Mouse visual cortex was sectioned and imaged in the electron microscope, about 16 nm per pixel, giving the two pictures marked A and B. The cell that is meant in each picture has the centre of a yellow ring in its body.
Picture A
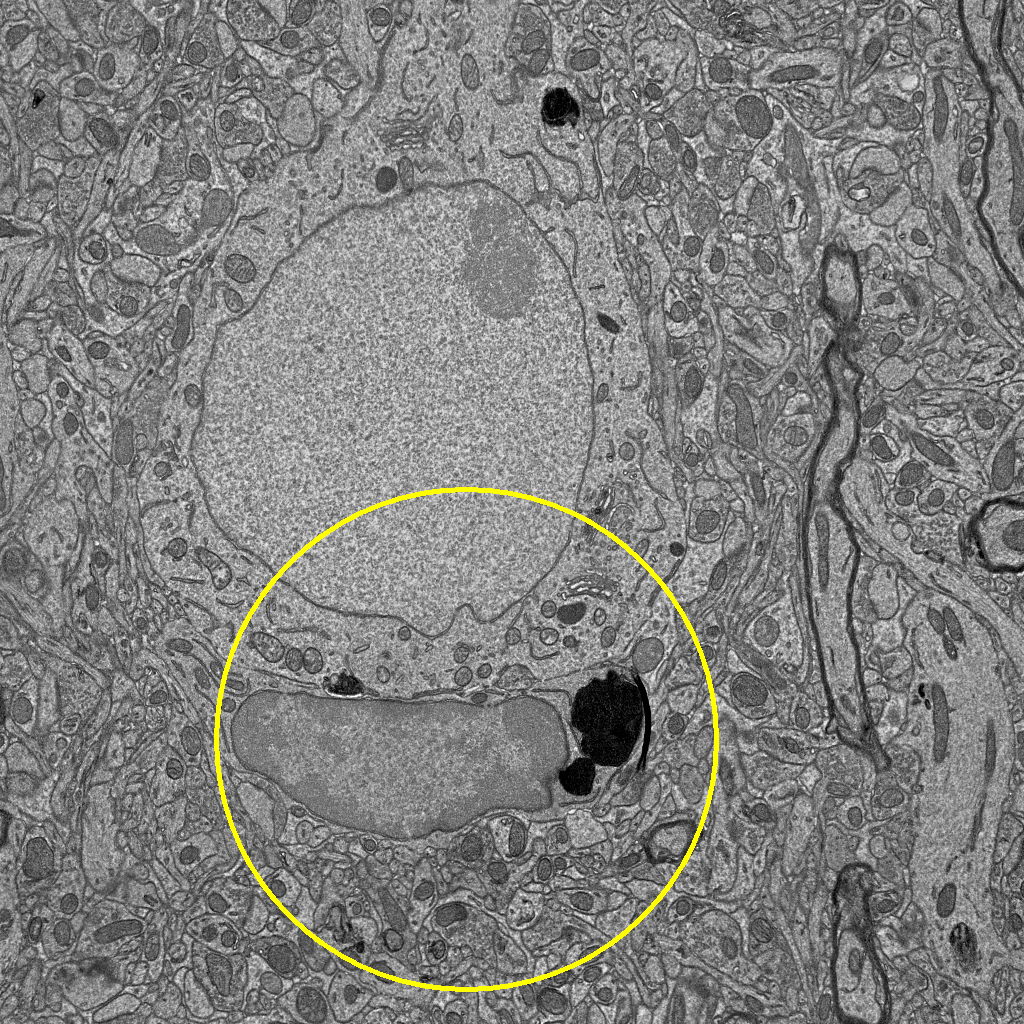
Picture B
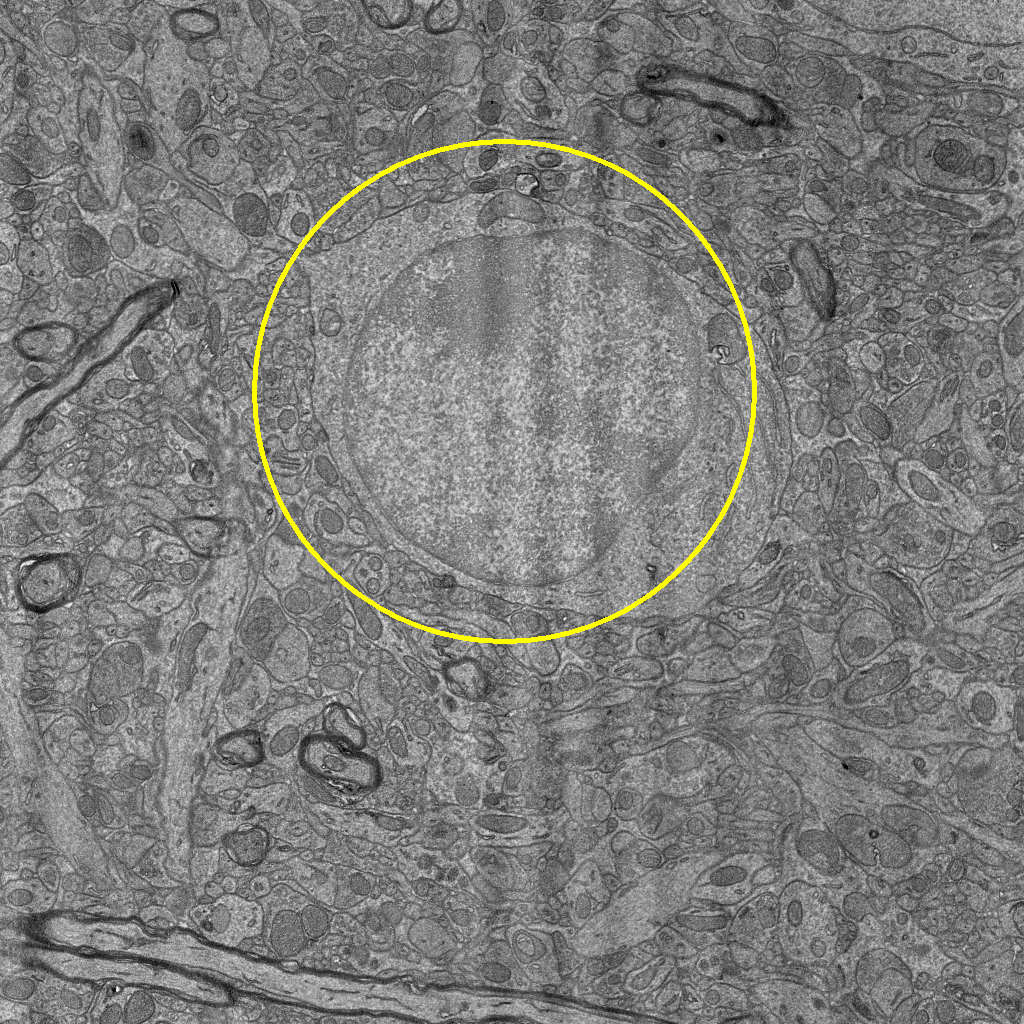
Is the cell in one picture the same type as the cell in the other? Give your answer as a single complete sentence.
No, the types are not the same, since picture A shows a microglial cell and picture B an oligodendrocyte.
